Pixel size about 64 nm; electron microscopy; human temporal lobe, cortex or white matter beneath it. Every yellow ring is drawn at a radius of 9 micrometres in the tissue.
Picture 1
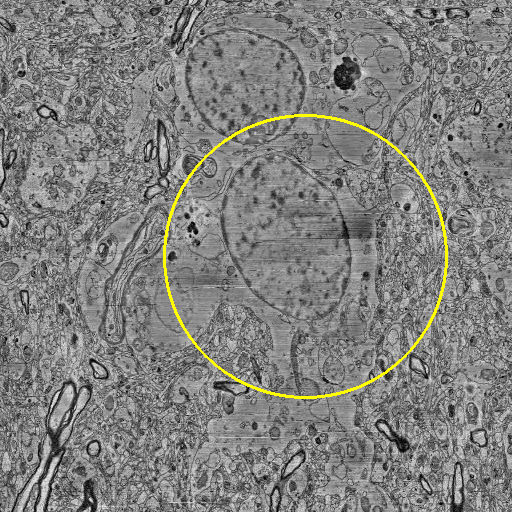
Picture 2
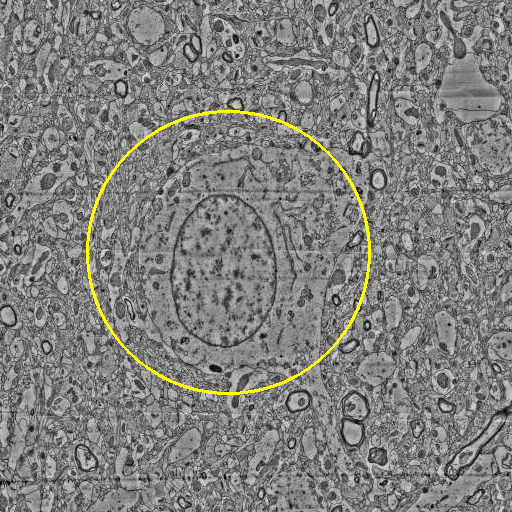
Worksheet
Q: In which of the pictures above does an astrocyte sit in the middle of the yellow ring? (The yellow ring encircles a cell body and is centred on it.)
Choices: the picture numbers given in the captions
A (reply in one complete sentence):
In picture 1, the cell sitting at the centre of the ring is the match.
